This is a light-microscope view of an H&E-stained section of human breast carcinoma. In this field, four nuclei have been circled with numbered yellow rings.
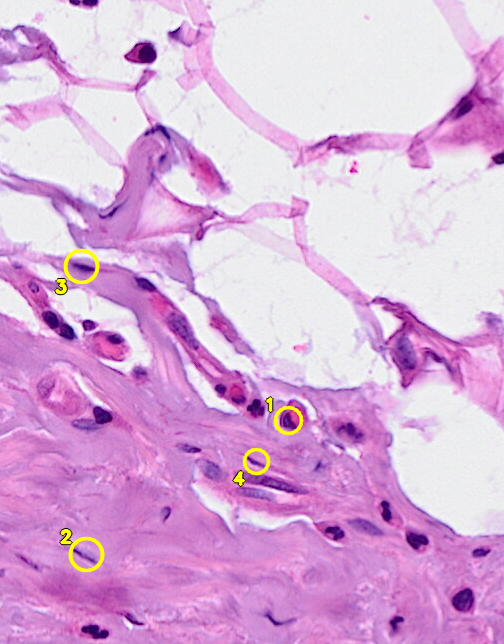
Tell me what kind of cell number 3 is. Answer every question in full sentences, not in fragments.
The cell whose nucleus carries the number 3 is a fibroblast.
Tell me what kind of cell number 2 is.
The cell to which the number 2 is assigned is a fibroblast.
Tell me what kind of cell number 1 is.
Cell 1 of the marked set is an endothelial cell.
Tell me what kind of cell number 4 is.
In this section, the cell numbered 4 is a fibroblast.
